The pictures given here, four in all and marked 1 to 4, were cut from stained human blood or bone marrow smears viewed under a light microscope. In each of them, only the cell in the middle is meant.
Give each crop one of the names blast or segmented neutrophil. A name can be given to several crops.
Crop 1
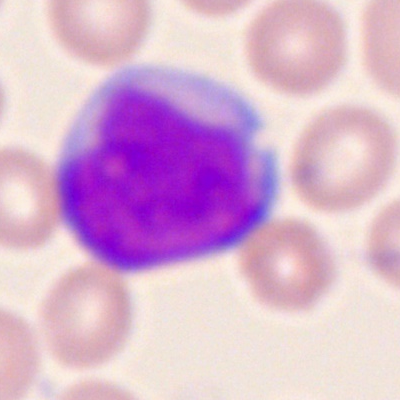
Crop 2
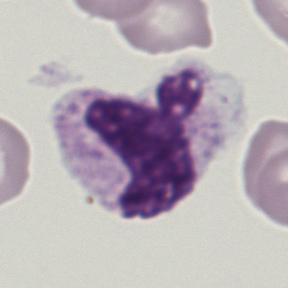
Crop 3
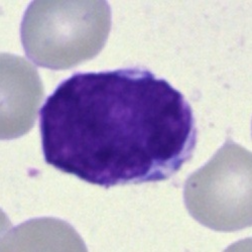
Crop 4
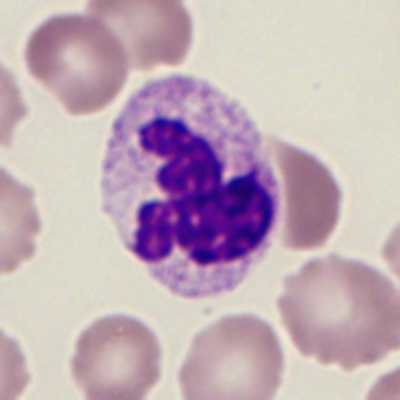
1: blast
2: segmented neutrophil
3: blast
4: segmented neutrophil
